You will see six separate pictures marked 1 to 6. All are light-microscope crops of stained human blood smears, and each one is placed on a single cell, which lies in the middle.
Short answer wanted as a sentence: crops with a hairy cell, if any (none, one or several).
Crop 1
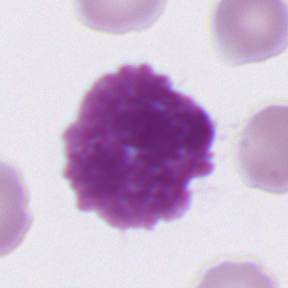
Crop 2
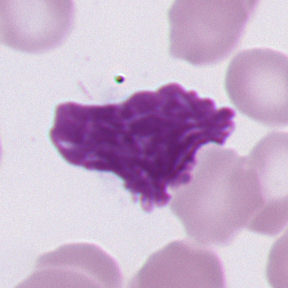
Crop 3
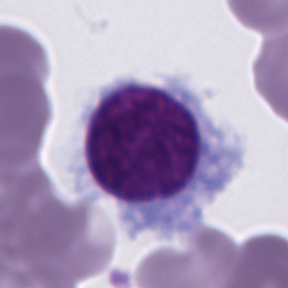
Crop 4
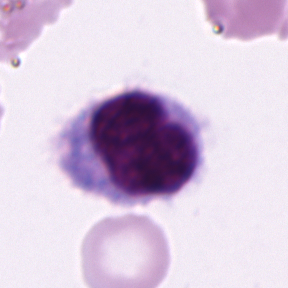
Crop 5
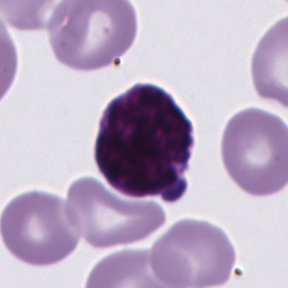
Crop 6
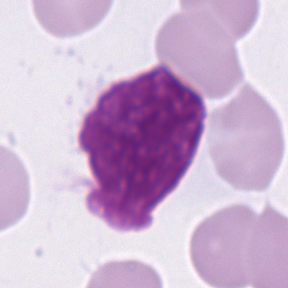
Classification of crops 3 and 4: the central cells are hairy cells.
